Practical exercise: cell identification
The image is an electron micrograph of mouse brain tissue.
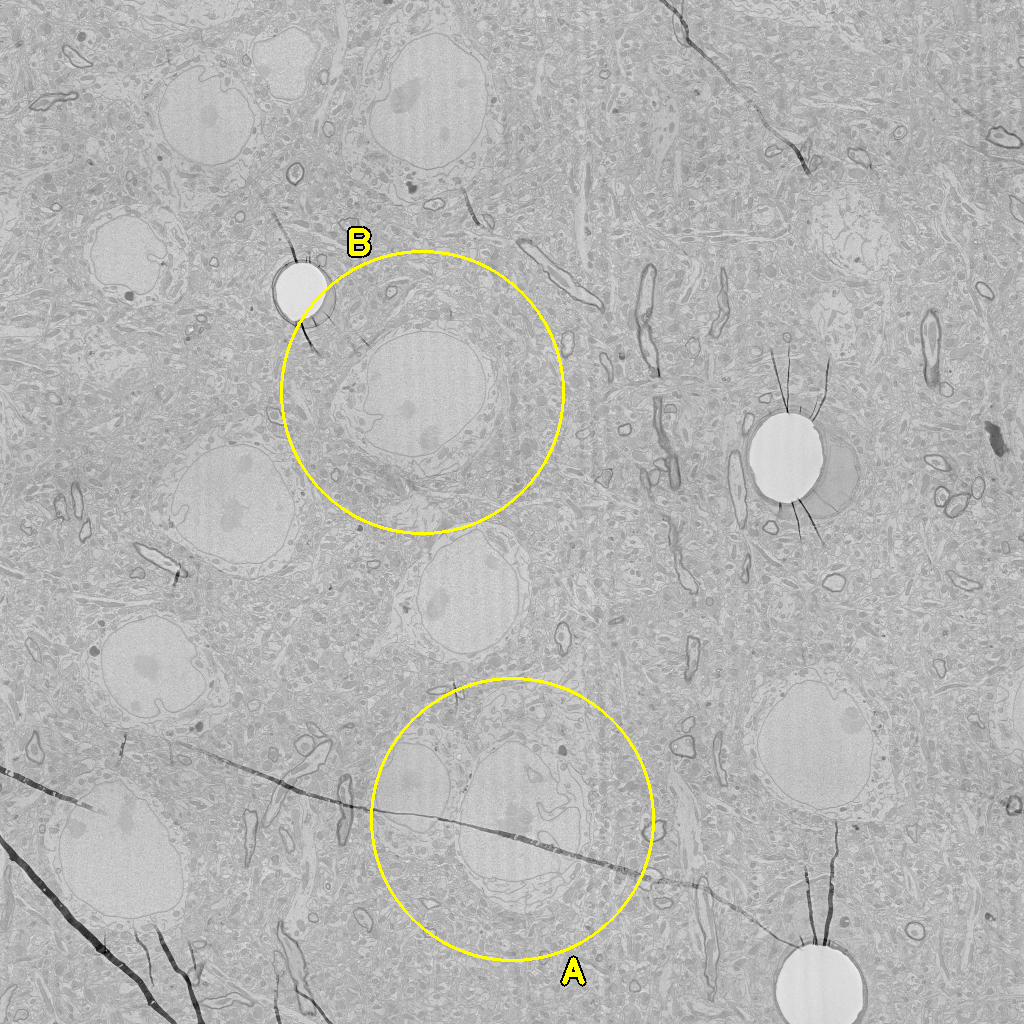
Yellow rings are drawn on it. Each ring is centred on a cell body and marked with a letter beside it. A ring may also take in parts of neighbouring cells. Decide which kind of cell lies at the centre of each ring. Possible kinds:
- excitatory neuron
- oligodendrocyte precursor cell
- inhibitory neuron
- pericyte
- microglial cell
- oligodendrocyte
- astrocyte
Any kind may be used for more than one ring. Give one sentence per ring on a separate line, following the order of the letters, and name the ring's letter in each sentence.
The cell in the middle of ring A is an inhibitory neuron.
The cell in the middle of ring B is an excitatory neuron.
